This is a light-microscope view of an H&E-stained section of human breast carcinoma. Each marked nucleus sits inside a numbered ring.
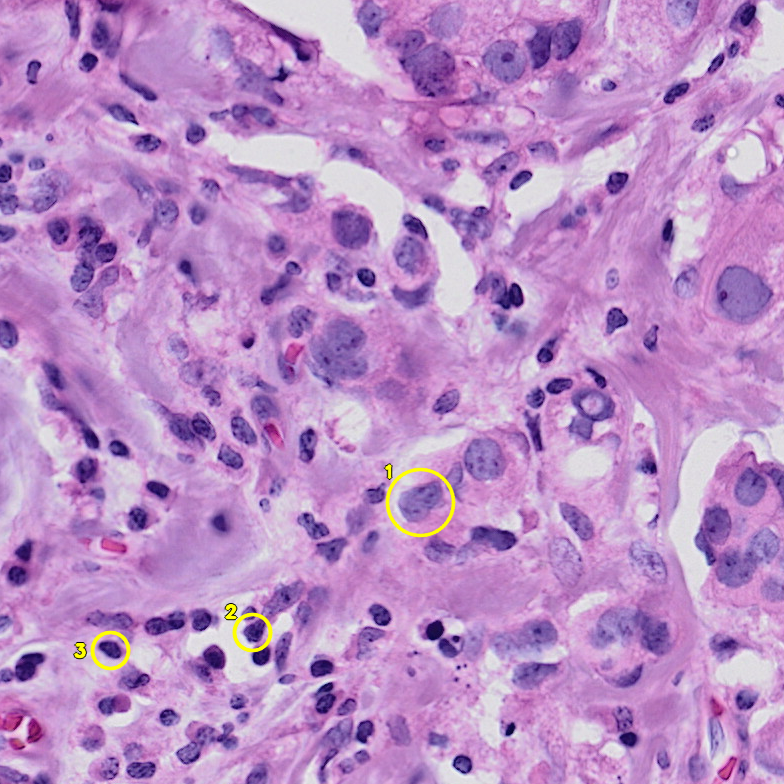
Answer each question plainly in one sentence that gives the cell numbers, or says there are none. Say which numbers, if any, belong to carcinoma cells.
There is only one numbered cell that is a carcinoma cell, and it is cell 1.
